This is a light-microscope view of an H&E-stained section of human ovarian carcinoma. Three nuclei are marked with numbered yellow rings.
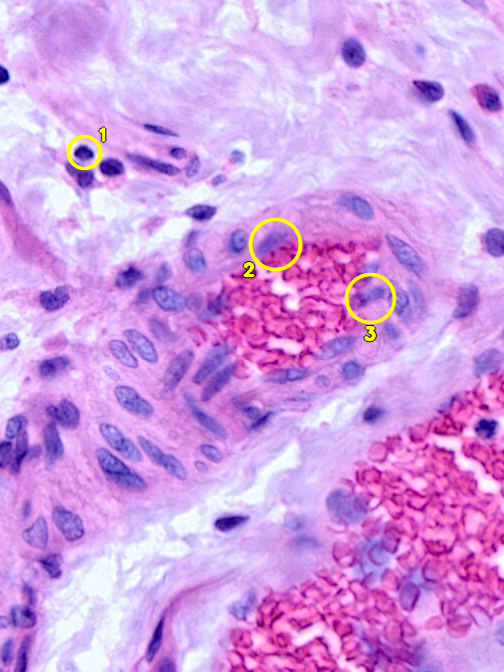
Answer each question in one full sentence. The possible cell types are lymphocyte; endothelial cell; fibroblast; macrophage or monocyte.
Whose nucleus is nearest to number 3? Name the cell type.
The nearest nucleus to number 3 belongs to an endothelial cell.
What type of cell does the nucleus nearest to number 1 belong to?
The nearest nucleus to number 1 belongs to a macrophage or monocyte.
